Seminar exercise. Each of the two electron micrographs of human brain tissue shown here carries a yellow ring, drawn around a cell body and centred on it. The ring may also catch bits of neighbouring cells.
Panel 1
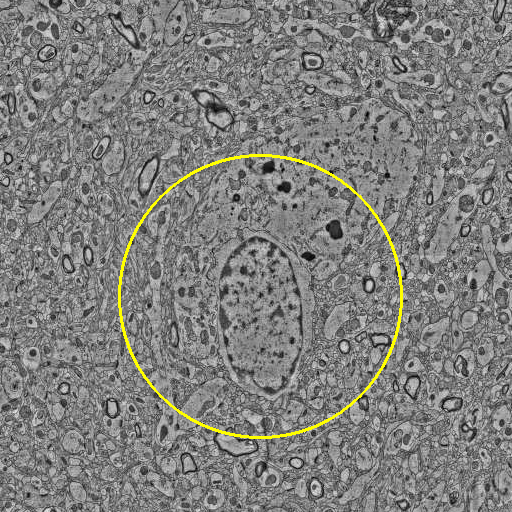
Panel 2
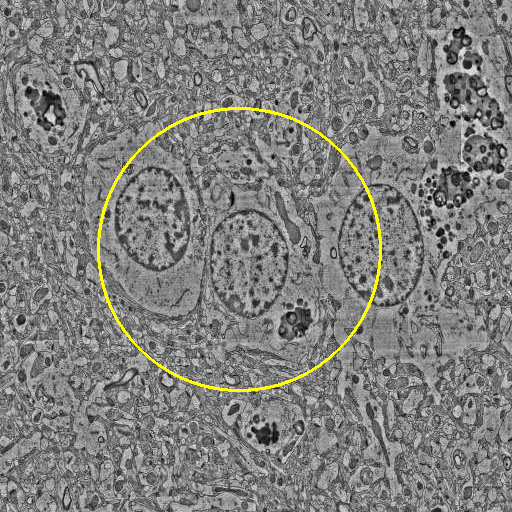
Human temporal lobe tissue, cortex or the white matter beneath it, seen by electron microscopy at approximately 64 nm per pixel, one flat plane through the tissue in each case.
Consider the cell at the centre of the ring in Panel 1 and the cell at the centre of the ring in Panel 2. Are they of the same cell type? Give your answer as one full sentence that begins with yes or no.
No, the two cells are of two types.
